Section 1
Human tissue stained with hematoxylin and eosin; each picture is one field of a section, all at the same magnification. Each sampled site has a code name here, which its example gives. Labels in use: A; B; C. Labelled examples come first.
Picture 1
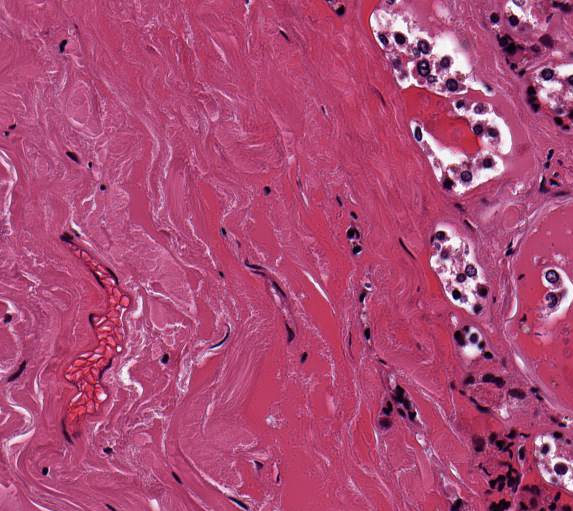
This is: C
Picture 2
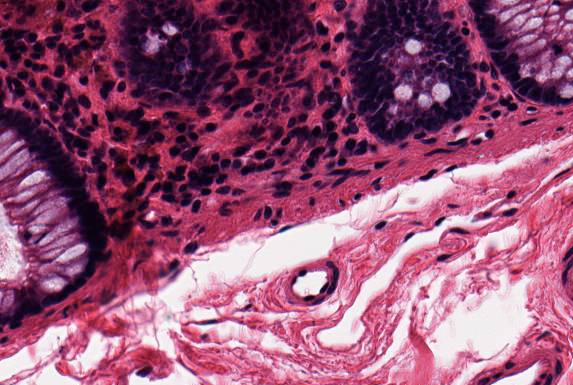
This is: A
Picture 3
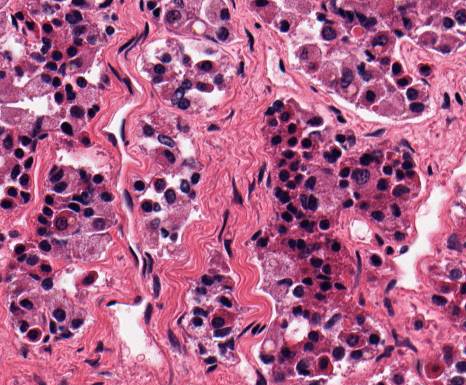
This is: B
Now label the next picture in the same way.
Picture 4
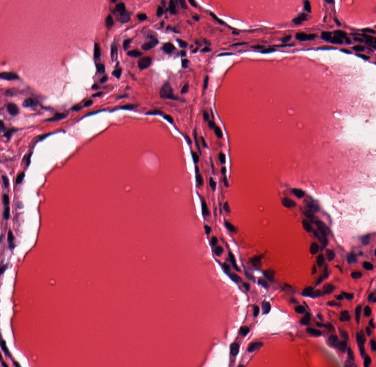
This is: C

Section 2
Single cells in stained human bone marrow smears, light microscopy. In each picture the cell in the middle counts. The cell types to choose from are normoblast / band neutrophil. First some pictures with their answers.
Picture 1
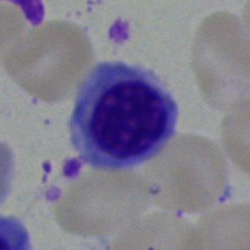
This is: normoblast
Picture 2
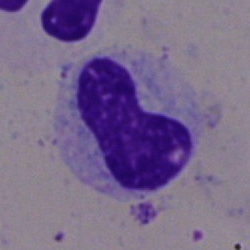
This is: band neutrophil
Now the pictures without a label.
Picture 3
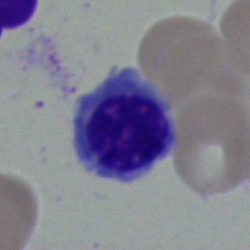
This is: normoblast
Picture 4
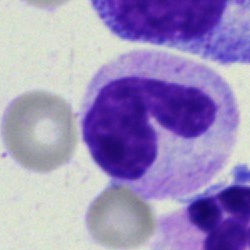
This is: band neutrophil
